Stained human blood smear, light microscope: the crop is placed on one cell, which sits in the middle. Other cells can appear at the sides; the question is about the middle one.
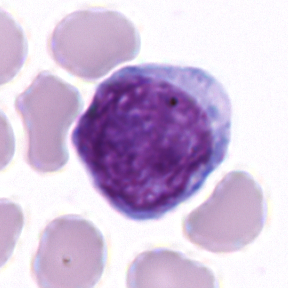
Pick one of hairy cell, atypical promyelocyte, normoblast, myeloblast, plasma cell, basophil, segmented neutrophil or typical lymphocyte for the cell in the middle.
plasma cell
